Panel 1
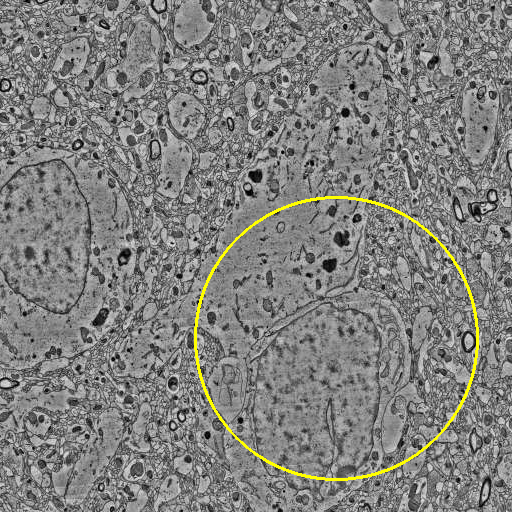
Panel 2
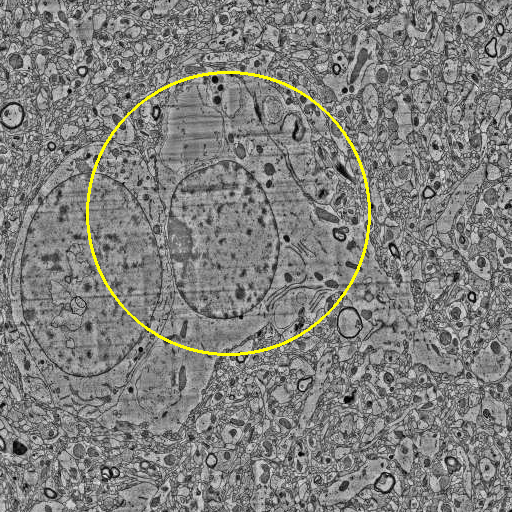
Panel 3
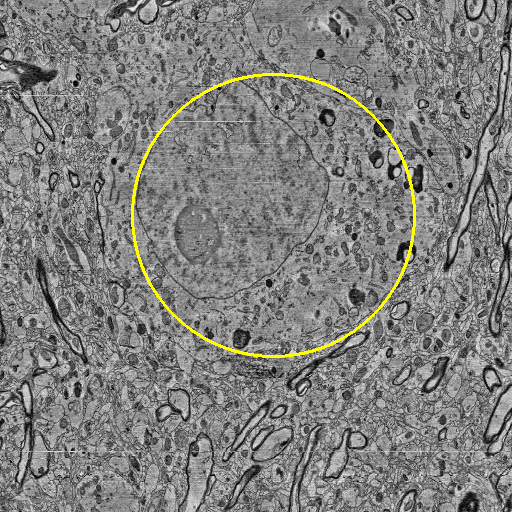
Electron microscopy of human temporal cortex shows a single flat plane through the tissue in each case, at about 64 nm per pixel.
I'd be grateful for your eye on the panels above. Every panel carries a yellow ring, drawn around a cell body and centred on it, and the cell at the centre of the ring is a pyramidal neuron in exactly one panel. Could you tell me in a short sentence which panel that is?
Panel 3 is the one with it at the centre of the ring.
